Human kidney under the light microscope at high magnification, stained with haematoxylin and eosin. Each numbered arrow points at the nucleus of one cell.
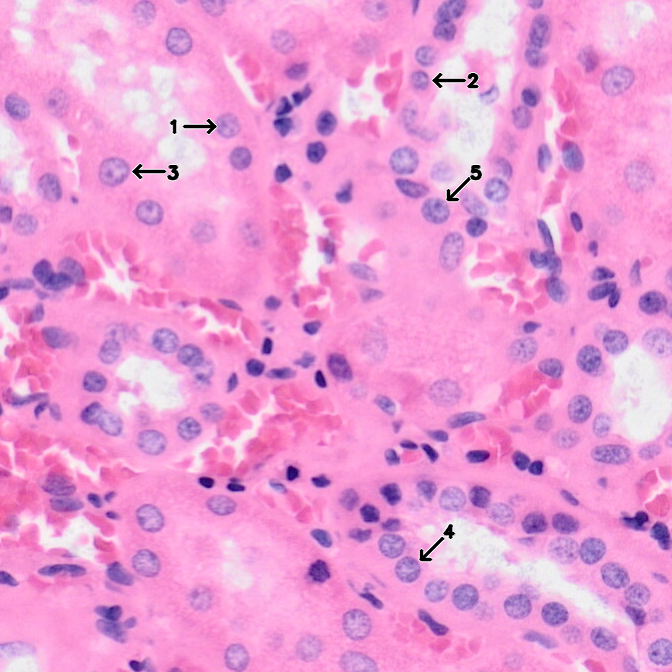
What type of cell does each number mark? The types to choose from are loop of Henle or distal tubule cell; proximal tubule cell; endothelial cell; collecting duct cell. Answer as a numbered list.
1. proximal tubule cell
2. collecting duct cell
3. proximal tubule cell
4. collecting duct cell
5. collecting duct cell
